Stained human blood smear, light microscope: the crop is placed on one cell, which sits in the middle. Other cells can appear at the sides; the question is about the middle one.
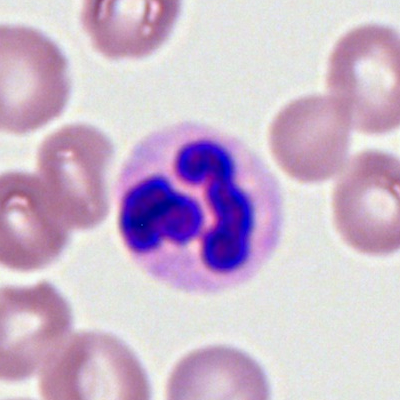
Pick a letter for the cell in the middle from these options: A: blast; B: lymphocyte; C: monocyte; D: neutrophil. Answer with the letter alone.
D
